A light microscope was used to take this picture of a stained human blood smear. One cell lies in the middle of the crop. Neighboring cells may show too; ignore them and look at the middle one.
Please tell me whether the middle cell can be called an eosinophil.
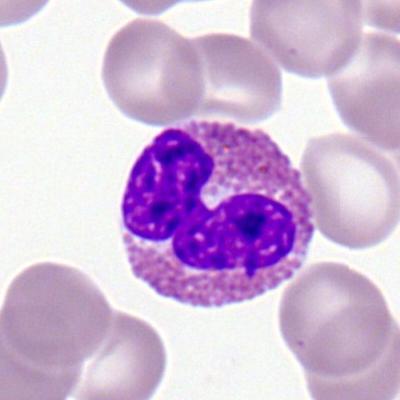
yes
